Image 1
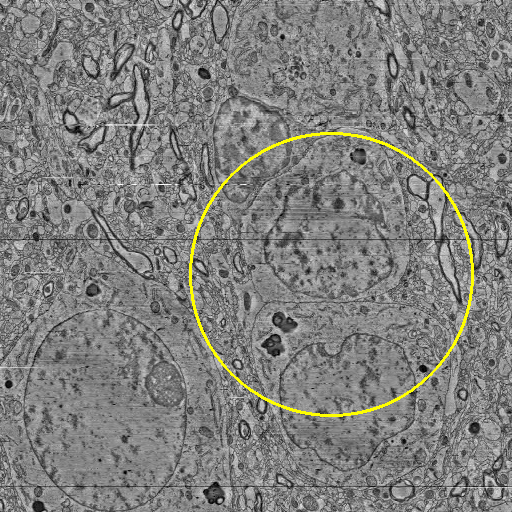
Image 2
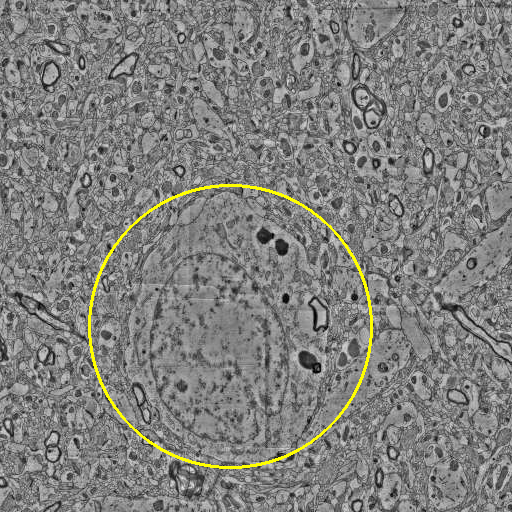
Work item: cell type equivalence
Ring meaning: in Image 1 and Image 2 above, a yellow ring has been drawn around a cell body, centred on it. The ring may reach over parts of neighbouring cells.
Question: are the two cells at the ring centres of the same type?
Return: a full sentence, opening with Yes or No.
Yes, the two centred cells are of the same type.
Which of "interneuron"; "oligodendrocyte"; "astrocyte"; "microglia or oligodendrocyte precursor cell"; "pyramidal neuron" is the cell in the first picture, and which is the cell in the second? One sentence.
Each of the two cells is an interneuron.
